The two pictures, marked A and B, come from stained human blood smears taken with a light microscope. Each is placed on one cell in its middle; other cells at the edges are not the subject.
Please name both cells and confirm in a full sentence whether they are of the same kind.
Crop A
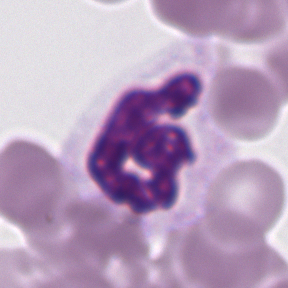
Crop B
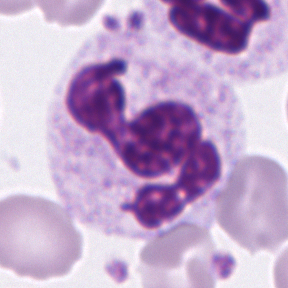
Yes, shown in both crops are segmented neutrophils.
